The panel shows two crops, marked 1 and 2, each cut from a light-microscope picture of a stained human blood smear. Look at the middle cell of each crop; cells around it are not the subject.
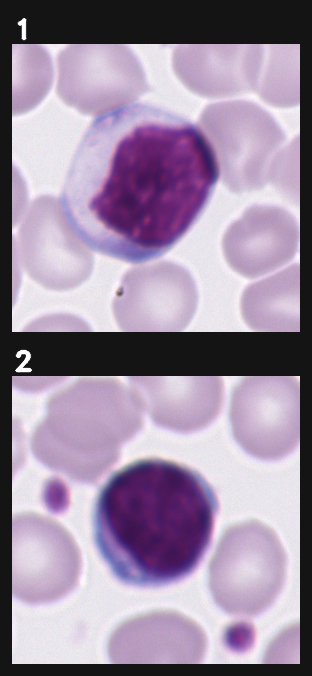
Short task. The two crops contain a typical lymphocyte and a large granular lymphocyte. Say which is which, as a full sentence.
The correct labels are a large granular lymphocyte for crop 1 and a typical lymphocyte for crop 2.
